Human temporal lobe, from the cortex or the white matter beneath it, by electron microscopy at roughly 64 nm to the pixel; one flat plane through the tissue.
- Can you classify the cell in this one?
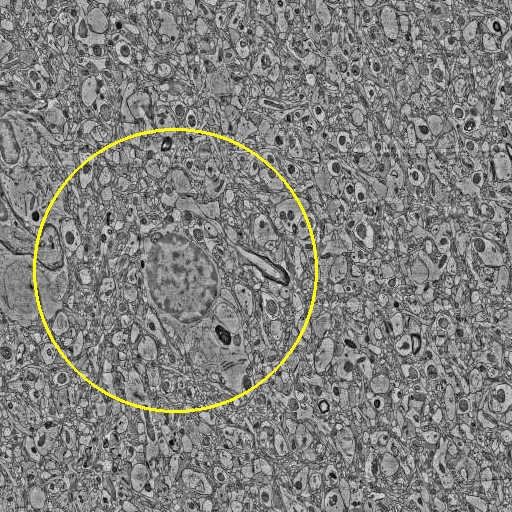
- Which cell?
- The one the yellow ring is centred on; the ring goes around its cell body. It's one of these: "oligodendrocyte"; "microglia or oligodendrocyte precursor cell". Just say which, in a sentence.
The cell body in the ring belongs to an oligodendrocyte.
